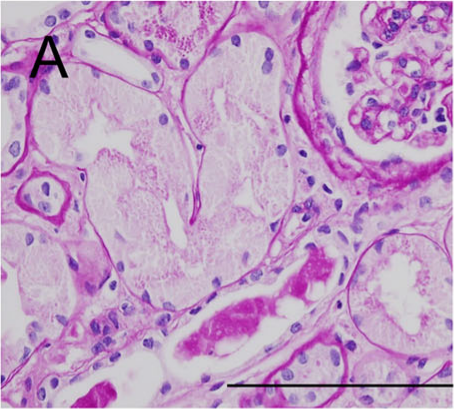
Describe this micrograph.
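This is renal cortex with tubules and a glomerulus at the upper right. Several tubules are swollen, their epithelial cells filled with abundant pale, glassy, finely granular pink cytoplasm that narrows the lumen. The tubular basement membranes are outlined in magenta. A smaller injured tubule contains bright magenta material in its lumen. Scattered dark blue nuclei lie in the interstitium and along the tubule walls.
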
